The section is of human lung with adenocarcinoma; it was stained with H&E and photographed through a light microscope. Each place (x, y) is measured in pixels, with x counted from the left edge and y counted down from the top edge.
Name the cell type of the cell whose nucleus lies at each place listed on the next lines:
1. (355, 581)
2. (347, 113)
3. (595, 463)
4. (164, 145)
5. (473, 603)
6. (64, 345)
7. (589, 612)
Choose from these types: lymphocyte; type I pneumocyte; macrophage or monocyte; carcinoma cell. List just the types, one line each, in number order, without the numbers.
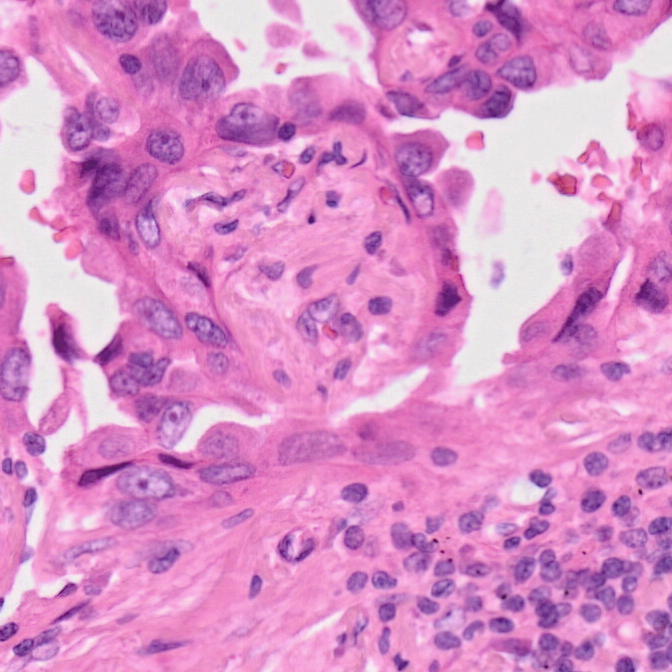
lymphocyte
carcinoma cell
lymphocyte
carcinoma cell
lymphocyte
carcinoma cell
lymphocyte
